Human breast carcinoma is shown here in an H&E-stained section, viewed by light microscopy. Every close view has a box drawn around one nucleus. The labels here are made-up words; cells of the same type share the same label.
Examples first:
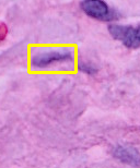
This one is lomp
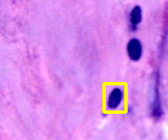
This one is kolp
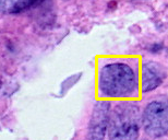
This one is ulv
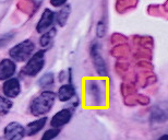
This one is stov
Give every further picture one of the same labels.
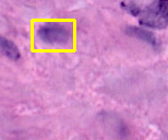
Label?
lomp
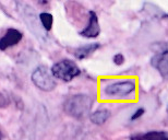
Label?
stov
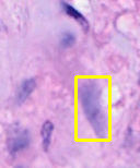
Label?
lomp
